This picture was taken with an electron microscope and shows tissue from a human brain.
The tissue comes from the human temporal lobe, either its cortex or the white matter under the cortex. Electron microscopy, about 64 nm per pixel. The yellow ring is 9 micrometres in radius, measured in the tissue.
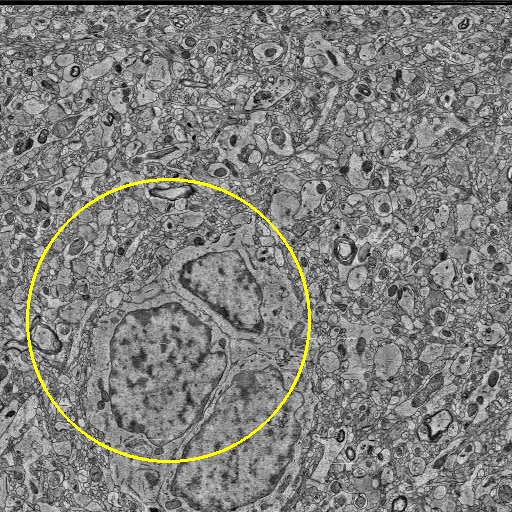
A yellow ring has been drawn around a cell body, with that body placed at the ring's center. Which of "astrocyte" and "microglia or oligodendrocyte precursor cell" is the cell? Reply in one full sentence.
In this picture, a microglial cell or oligodendrocyte precursor cell is the cell at the center of the yellow ring.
